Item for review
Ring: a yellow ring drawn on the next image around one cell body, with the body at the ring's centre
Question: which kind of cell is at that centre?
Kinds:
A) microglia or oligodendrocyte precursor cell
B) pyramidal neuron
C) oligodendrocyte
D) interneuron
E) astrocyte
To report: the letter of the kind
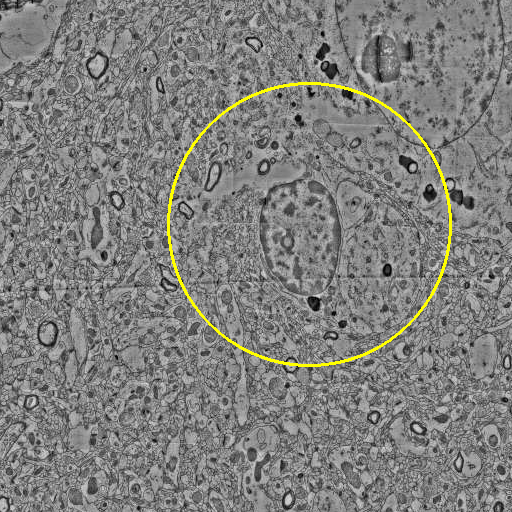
A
